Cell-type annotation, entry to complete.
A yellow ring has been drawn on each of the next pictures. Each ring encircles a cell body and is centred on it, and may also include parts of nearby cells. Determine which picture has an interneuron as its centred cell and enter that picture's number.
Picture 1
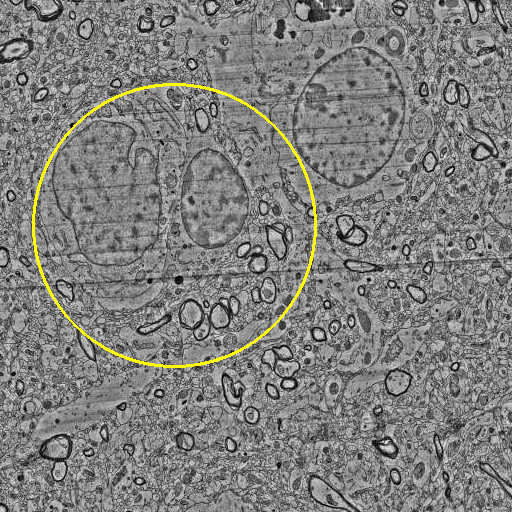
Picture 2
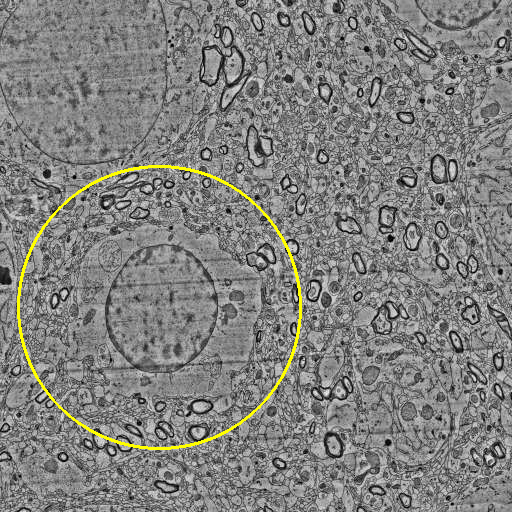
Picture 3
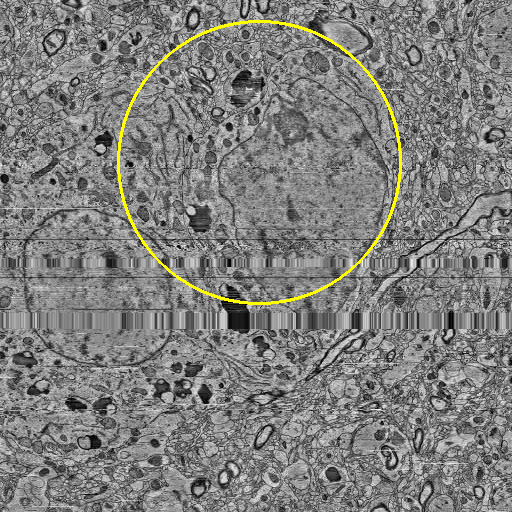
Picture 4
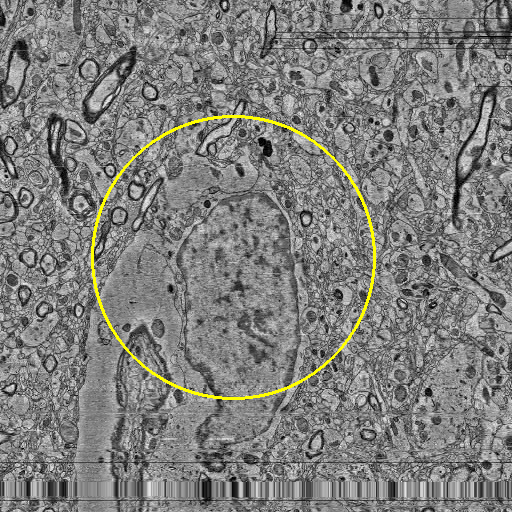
3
